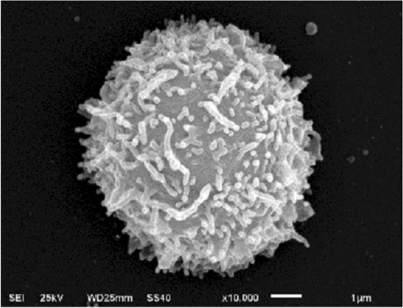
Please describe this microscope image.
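A single spherical cell is seen whole against a dark background, its surface covered by a dense array of ridges and folds: long, winding ridge-like ruffles lie across the face, while short finger-like projections and small knobs stud the surface in between, giving the cell a bristly outline at its edge. No nucleus or internal structure can be seen, only the three-dimensional surface.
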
